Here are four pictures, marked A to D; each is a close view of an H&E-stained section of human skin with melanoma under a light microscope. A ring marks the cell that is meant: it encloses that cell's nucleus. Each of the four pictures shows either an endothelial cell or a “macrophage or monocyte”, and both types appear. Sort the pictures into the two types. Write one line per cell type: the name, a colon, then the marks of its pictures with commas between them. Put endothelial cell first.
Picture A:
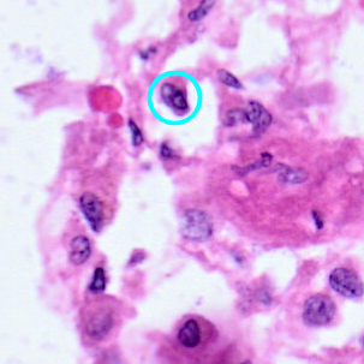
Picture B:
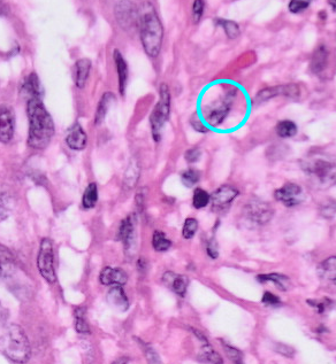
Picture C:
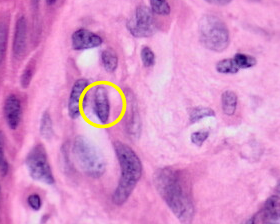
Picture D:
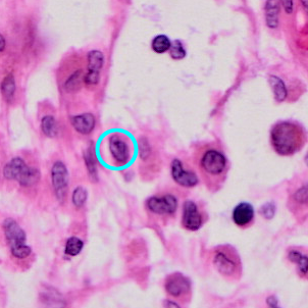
endothelial cell: B, C
macrophage or monocyte: A, D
